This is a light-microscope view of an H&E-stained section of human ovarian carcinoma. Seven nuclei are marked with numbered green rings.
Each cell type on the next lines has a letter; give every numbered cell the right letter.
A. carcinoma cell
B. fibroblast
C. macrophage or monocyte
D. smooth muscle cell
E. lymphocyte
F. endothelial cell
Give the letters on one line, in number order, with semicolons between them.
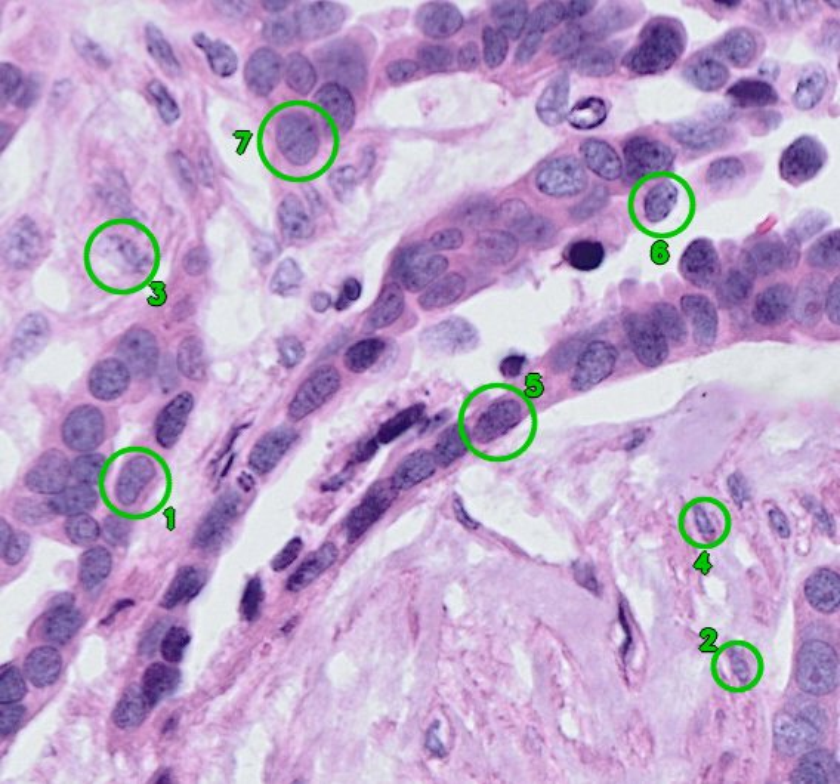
A; B; B; B; A; C; A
